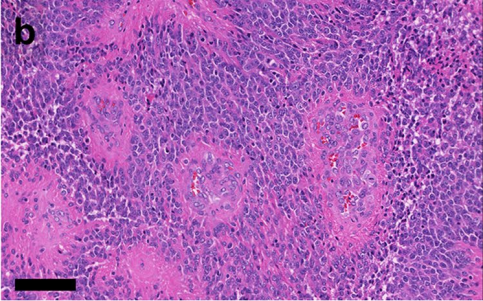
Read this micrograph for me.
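Dense sheets of tumor cells with small round to oval dark nuclei and scant cytoplasm fill most of the field. Scattered through them are several rounded vascular structures, each made of multiple small lumina holding red blood cells. The walls of these vessels are thick and lined by plump, crowded cells, forming glomerular-like tufts. Around the vessels lies a pale pink zone with fewer nuclei. This picture of crowded, multilayered small vessels corresponds to microvascular proliferation within the tumor.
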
